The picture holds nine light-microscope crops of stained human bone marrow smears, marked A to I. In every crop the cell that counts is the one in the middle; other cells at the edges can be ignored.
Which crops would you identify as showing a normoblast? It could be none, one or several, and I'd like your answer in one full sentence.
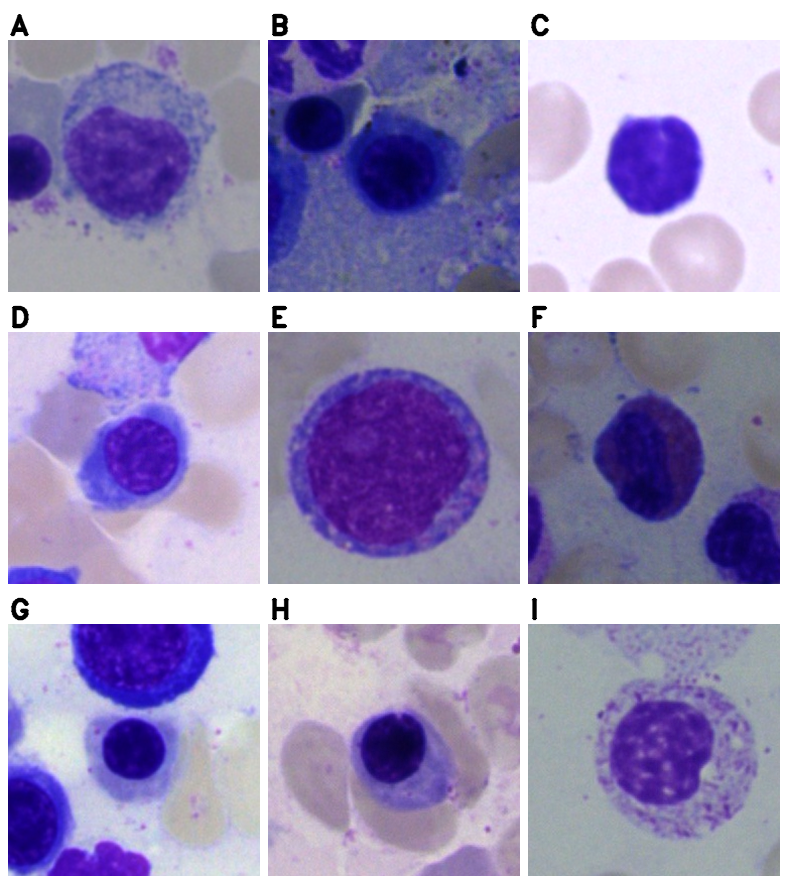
In crops B, D, G and H, normoblasts occupy the centre.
